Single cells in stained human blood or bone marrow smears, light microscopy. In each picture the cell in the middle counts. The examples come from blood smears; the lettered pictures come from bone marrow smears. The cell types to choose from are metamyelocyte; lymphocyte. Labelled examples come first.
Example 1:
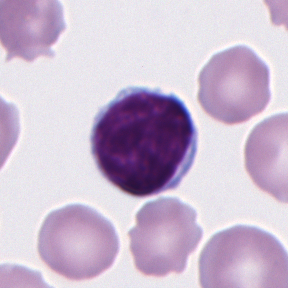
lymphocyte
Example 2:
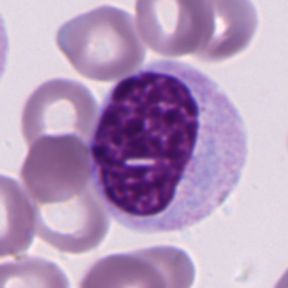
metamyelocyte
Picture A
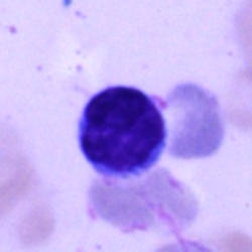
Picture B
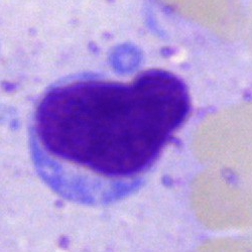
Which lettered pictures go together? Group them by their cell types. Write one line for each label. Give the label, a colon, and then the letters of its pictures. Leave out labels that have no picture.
lymphocyte: A, B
